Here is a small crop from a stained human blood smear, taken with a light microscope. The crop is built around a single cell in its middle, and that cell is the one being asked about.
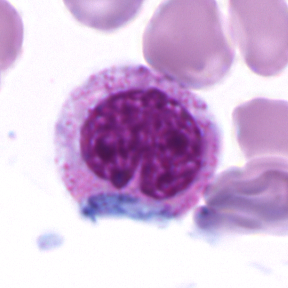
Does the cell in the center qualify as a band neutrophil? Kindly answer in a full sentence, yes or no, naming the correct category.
Yes, the cell at the centre is designated a band neutrophil.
